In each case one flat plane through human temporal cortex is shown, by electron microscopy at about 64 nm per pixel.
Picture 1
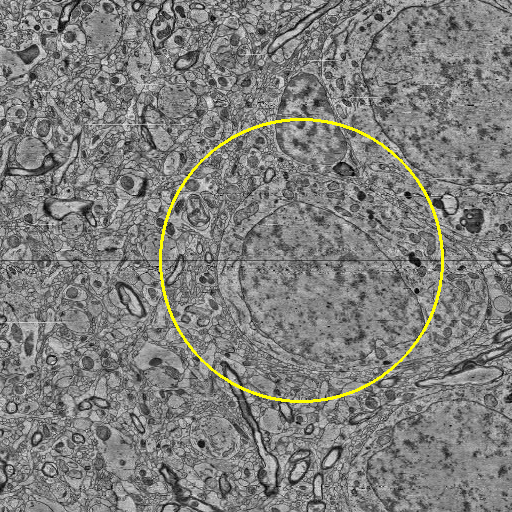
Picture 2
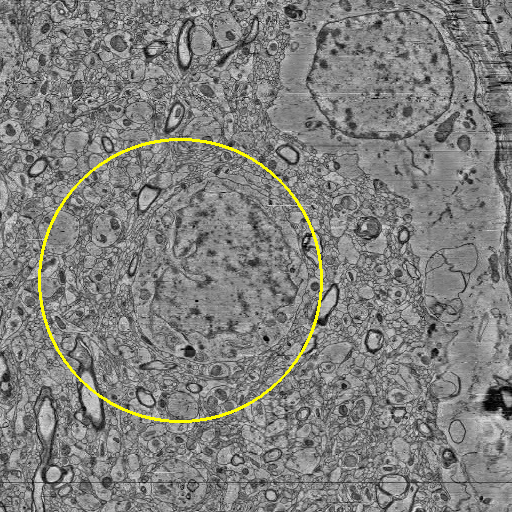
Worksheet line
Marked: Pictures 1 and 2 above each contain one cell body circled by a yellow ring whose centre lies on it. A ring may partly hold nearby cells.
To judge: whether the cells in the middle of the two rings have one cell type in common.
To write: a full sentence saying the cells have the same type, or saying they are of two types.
The cells in the middle of the rings in Picture 1 and Picture 2 have the same type.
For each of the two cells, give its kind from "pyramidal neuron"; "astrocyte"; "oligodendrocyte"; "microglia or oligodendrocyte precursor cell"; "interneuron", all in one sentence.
In both pictures the ring is centred on an interneuron.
